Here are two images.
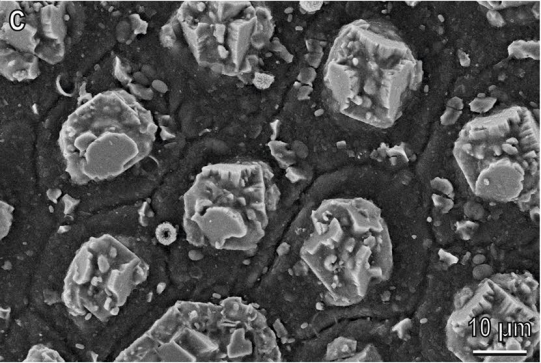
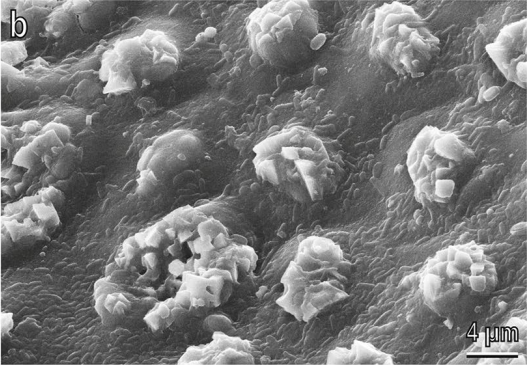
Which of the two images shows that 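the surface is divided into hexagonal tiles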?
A: the first image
